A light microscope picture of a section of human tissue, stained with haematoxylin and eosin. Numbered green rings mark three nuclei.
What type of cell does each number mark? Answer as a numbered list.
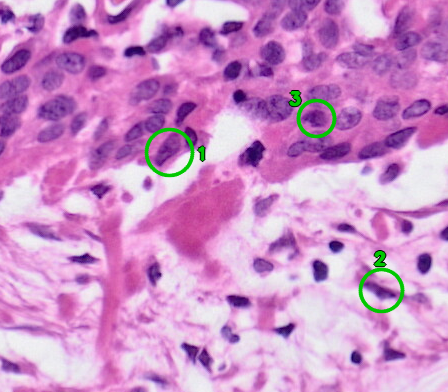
1. carcinoma cell
2. fibroblast
3. carcinoma cell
